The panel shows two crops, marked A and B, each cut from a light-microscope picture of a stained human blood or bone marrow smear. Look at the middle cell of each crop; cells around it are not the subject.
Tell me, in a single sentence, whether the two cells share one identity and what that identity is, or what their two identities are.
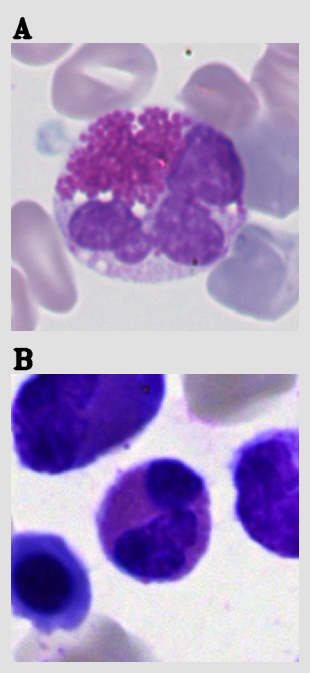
Yes, the central cells in both crops are eosinophils.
